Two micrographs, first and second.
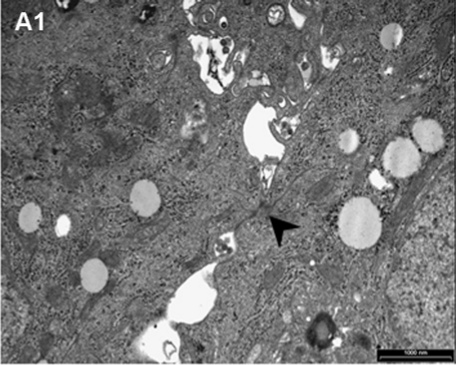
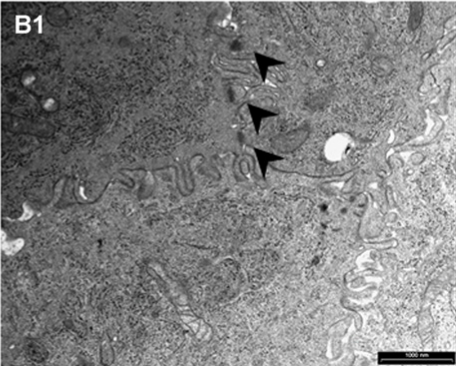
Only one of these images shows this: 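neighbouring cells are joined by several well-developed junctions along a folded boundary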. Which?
The second image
